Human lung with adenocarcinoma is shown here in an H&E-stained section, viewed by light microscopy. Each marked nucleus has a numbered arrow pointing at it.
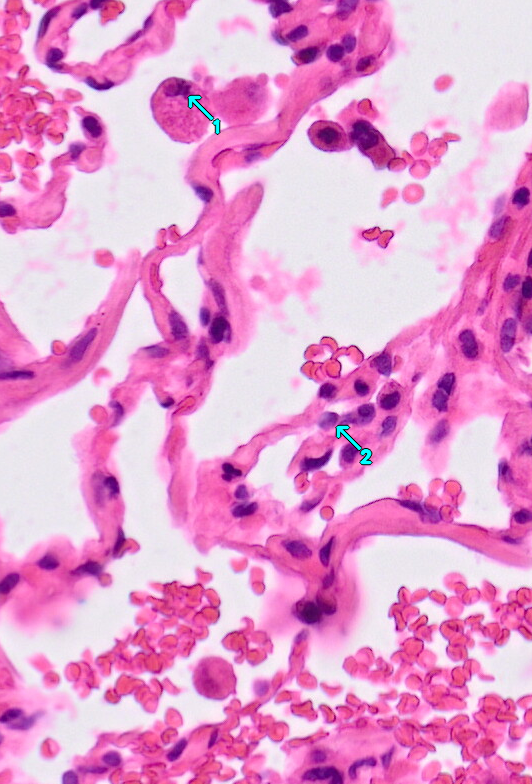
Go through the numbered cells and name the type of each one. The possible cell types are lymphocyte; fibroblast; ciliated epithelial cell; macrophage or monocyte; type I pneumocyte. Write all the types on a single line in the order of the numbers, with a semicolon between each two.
macrophage or monocyte; type I pneumocyte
